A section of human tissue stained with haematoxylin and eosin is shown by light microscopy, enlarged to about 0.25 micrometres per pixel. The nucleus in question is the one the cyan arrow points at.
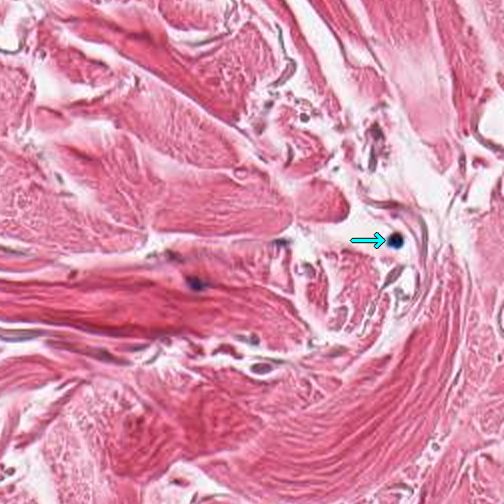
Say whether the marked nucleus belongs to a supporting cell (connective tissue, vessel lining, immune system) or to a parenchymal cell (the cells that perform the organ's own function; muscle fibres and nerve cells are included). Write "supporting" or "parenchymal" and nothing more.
supporting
